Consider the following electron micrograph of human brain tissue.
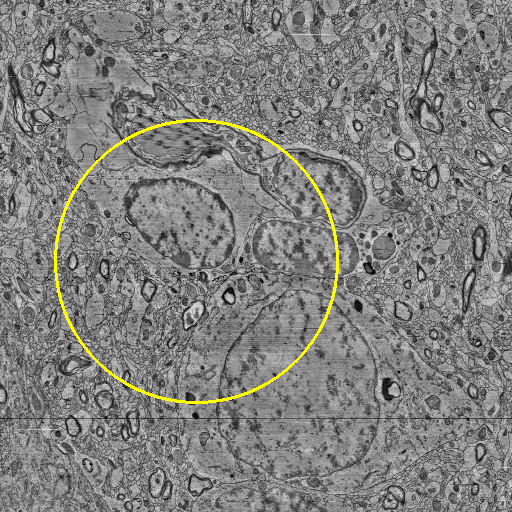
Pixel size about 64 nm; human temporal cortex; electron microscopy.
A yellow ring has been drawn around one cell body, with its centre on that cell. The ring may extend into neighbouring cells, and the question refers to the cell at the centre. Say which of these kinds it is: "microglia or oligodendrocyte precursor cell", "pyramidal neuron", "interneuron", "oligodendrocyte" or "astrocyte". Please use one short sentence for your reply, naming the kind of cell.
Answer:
The centre of the ring falls on a microglial cell or oligodendrocyte precursor cell.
